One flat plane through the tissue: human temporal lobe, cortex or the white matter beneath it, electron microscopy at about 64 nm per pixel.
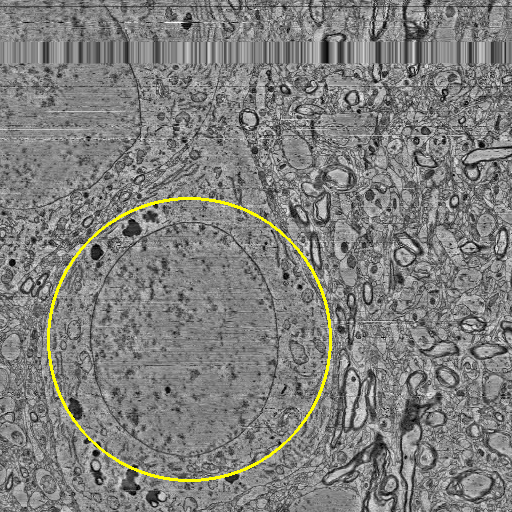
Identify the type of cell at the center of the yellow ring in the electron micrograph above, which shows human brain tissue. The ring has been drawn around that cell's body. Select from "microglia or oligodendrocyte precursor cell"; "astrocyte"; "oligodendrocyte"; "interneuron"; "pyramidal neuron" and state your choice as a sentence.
The yellow ring is centered on the body of a pyramidal neuron.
